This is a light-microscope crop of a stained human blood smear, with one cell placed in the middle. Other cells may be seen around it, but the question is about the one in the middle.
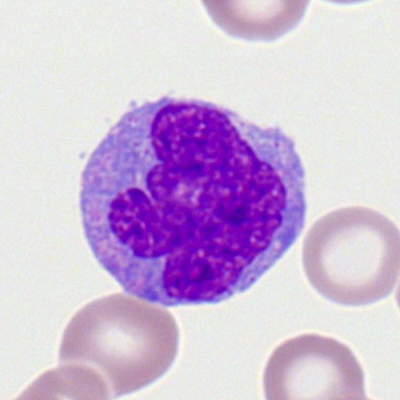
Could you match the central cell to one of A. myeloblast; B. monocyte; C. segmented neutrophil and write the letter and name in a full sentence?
Correctly, option B names the cell in the middle a monocyte.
